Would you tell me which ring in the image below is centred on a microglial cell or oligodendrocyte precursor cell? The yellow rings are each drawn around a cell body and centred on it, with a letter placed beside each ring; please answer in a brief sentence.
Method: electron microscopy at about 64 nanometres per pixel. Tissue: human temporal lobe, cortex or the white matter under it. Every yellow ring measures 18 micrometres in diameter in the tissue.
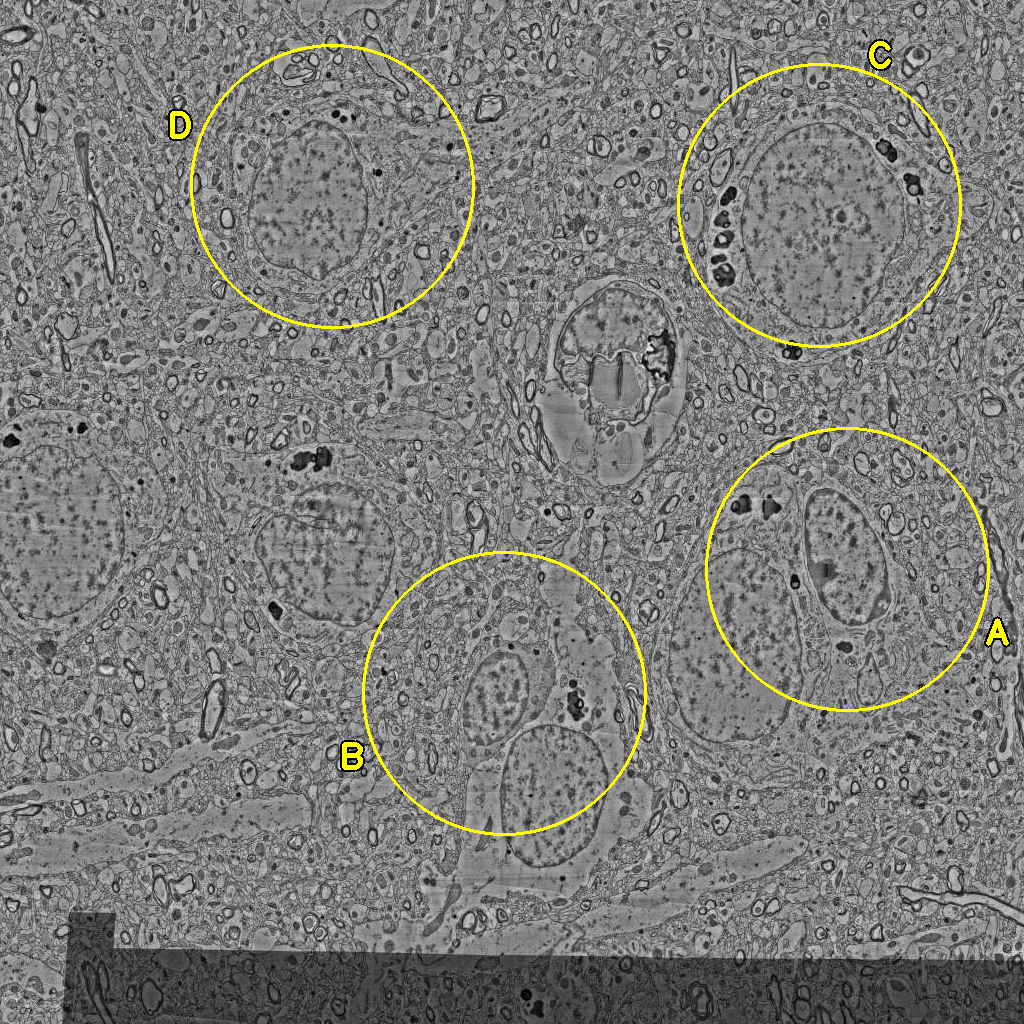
Ring A is centred on it.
